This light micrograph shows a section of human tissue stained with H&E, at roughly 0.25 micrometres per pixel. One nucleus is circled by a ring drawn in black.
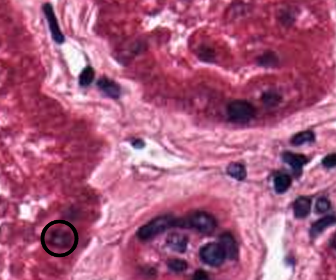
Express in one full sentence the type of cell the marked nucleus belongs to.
The mark in this picture falls on the nucleus of a proximal tubule cell.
